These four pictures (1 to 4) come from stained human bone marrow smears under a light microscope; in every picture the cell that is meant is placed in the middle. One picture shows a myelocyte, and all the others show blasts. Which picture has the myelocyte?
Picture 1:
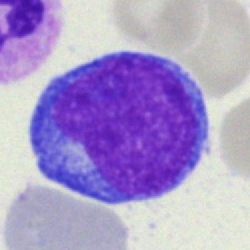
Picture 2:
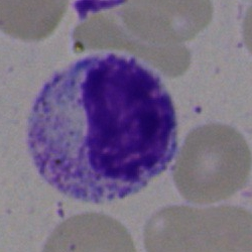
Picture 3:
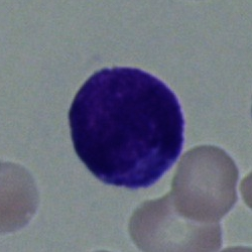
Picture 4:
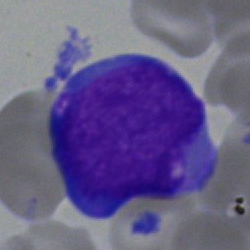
2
